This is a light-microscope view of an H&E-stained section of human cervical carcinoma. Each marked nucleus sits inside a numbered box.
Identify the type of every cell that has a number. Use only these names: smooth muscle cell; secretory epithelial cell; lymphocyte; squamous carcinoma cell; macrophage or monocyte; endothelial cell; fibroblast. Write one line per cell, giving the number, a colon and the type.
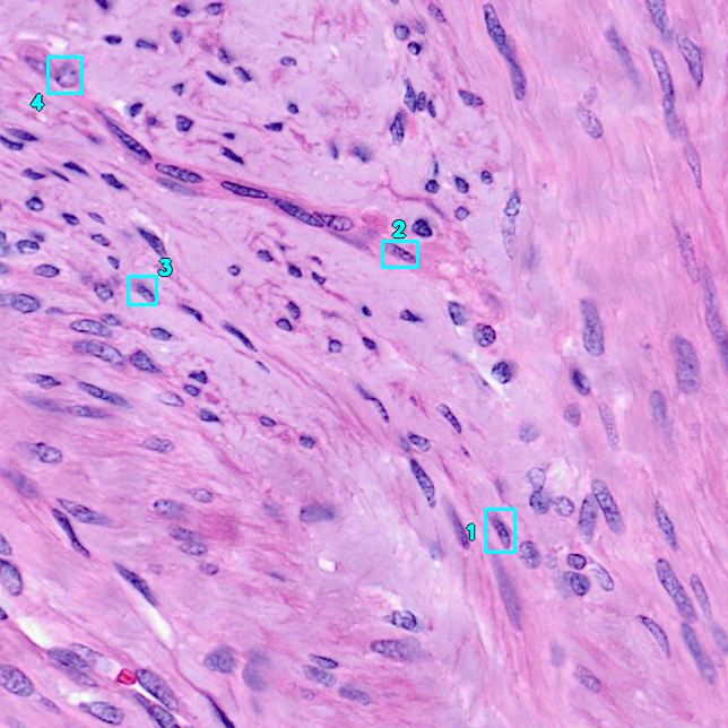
1: smooth muscle cell
2: endothelial cell
3: smooth muscle cell
4: endothelial cell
